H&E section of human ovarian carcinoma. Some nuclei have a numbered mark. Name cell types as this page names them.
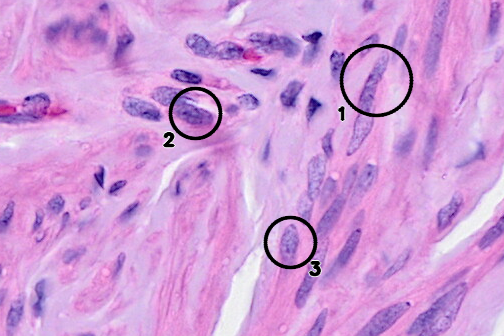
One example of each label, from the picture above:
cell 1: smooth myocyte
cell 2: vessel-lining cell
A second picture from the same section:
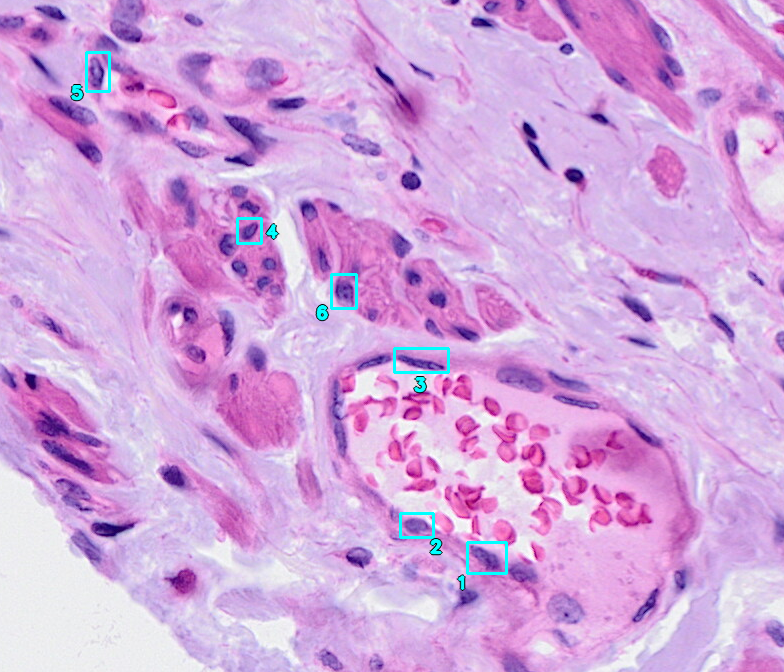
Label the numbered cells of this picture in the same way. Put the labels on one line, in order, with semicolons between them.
vessel-lining cell; vessel-lining cell; vessel-lining cell; smooth myocyte; vessel-lining cell; smooth myocyte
